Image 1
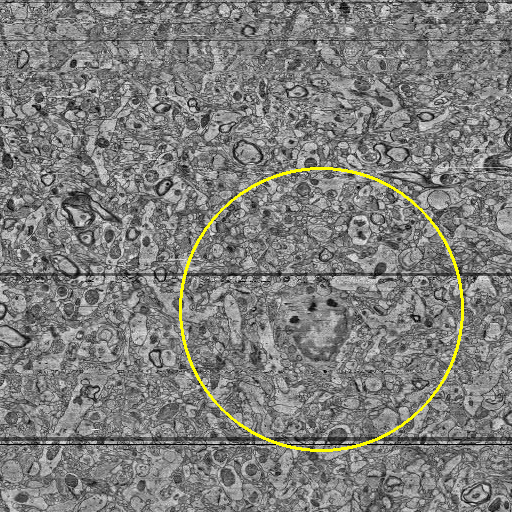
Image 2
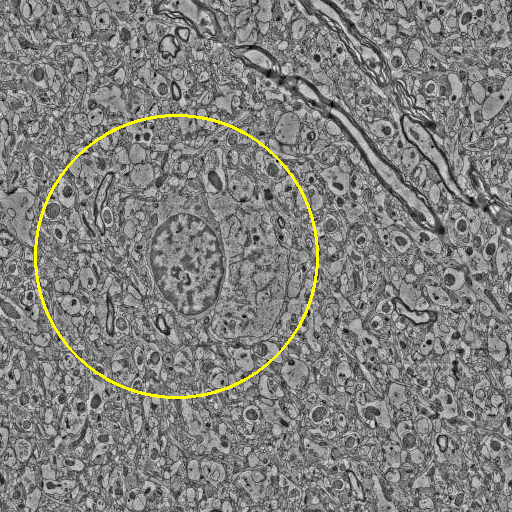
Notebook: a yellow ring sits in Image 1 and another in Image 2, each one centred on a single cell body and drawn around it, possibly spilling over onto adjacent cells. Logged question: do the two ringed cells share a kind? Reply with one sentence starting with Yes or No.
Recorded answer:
Yes, both centre cells inside the rings of Image 1 and Image 2 share one kind.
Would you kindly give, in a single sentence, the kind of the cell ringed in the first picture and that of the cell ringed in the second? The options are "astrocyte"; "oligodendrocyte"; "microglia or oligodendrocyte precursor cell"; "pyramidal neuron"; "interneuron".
In the first picture and in the second, the ring is centred on an oligodendrocyte.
